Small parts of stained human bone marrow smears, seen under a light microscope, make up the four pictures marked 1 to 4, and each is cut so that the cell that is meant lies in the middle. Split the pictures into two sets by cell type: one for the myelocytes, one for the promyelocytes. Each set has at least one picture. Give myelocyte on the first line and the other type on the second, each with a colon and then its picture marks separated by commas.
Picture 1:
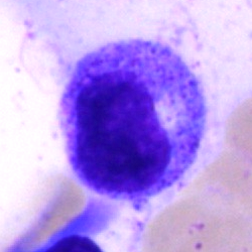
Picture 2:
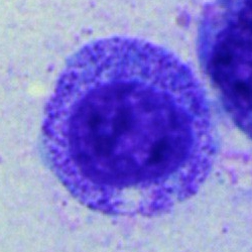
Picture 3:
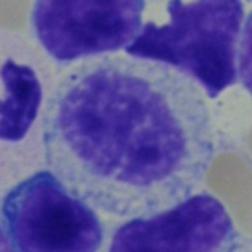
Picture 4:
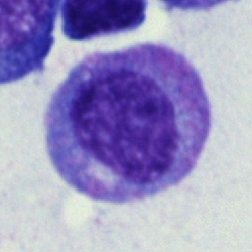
myelocyte: 3
promyelocyte: 1, 2, 4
